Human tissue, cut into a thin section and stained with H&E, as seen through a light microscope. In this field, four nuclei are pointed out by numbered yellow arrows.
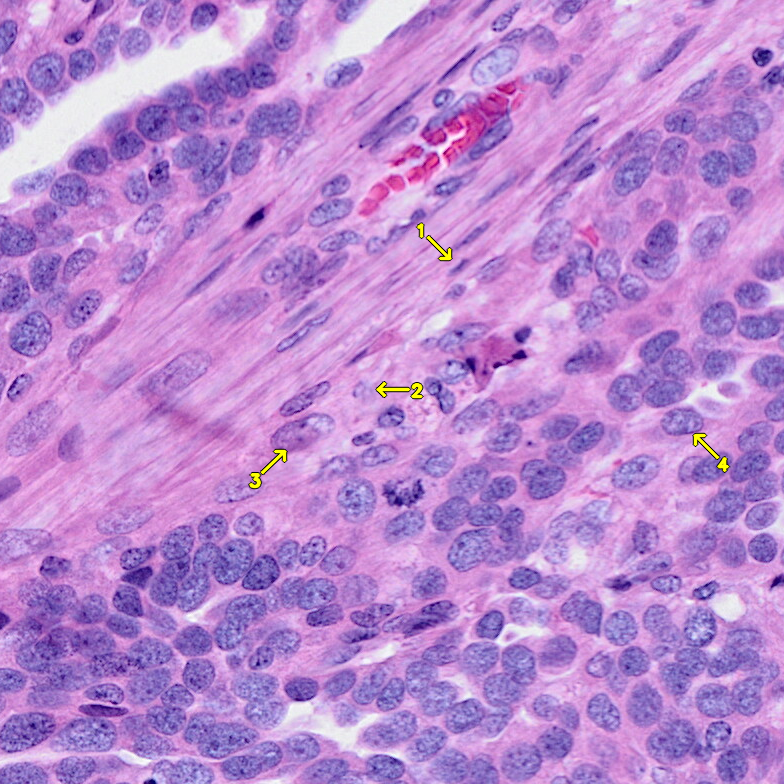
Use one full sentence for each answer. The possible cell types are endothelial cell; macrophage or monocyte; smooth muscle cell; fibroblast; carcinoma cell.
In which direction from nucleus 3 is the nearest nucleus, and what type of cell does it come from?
A macrophage or monocyte lies closest, above nucleus 3.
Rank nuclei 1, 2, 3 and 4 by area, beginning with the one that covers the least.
The order from the smallest nucleus to the largest is 1, 2, 4, 3.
